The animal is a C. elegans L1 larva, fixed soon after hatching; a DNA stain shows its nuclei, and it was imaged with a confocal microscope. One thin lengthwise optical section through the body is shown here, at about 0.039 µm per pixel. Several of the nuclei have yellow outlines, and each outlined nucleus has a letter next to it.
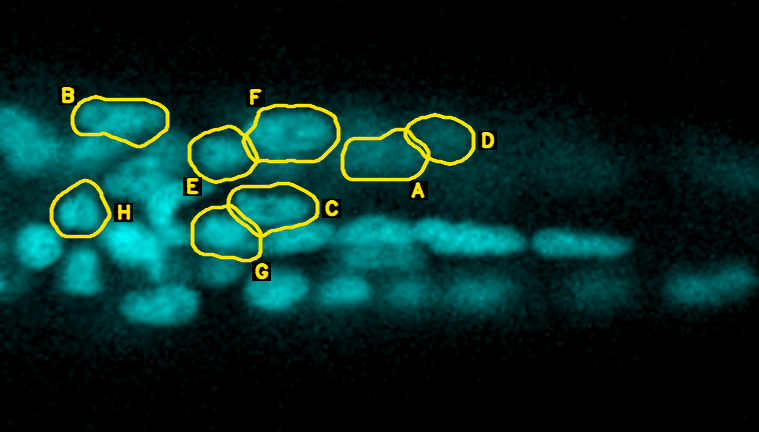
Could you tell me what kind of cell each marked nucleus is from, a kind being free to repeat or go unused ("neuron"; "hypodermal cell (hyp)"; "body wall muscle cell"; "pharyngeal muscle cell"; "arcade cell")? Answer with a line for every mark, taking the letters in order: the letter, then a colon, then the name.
A: body wall muscle cell
B: body wall muscle cell
C: pharyngeal muscle cell
D: arcade cell
E: arcade cell
F: body wall muscle cell
G: neuron
H: pharyngeal muscle cell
